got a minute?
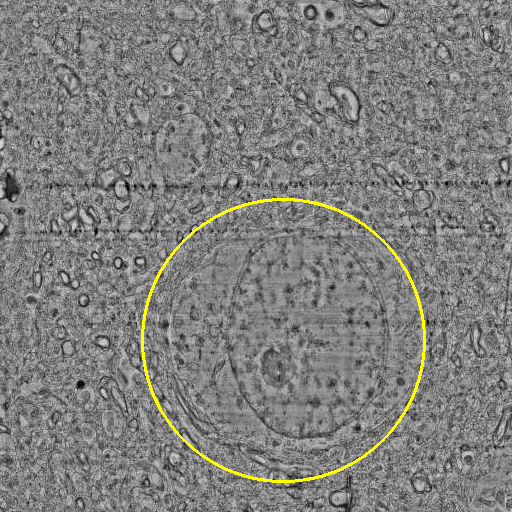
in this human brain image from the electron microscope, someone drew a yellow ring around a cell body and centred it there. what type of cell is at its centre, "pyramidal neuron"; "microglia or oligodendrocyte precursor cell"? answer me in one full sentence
It's a pyramidal neuron at the middle of that yellow ring in the shot.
